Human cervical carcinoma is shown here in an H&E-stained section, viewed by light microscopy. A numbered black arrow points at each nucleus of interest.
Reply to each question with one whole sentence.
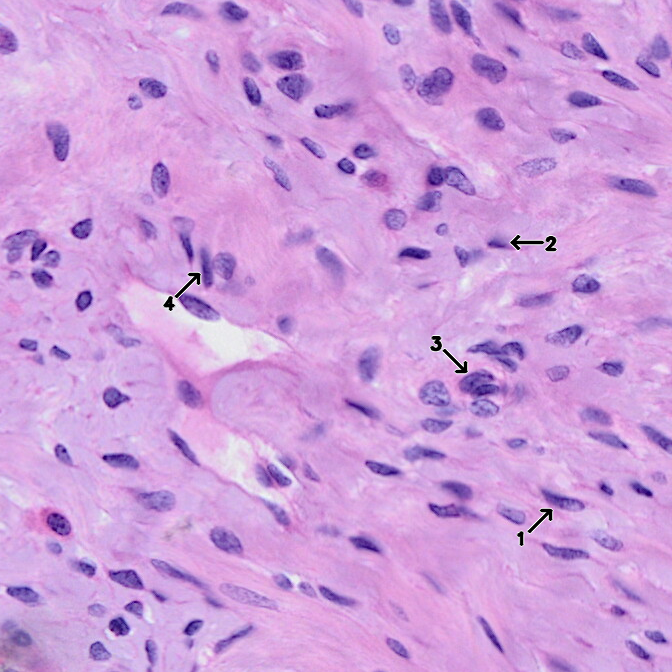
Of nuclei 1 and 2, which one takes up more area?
Nucleus 1 is larger, with an area about 2 times that of nucleus 2.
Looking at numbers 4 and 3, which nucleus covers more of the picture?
The larger nucleus is 3, at roughly 2 times the area of 4.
